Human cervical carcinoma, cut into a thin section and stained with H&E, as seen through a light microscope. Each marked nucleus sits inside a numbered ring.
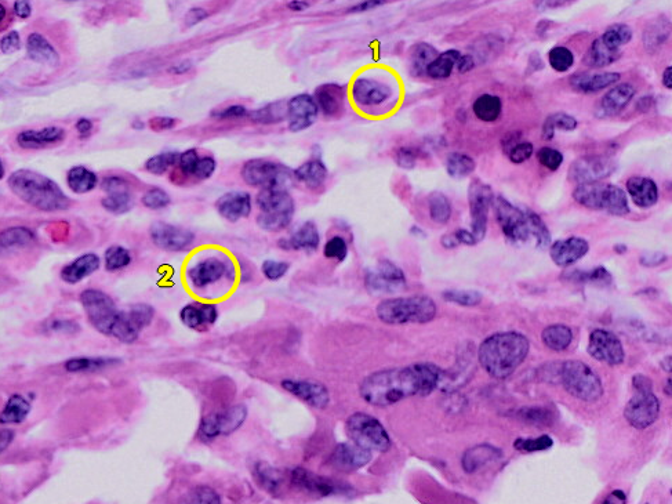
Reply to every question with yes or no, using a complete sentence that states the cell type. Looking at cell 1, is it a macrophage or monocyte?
Yes, for number 1, the cell is a macrophage or monocyte.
